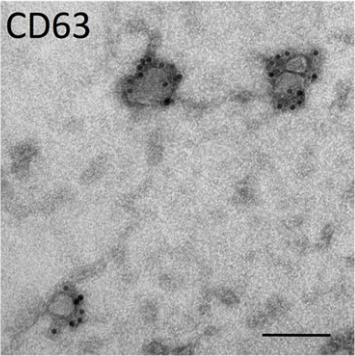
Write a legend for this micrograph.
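Exosomes in negative stain, three small vesicles with dark-edged membranes on a mottled grey background. The vesicles show a paler centre within a darker rim, in cup-shaped form. Thin strands of background material link two of the vesicles.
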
